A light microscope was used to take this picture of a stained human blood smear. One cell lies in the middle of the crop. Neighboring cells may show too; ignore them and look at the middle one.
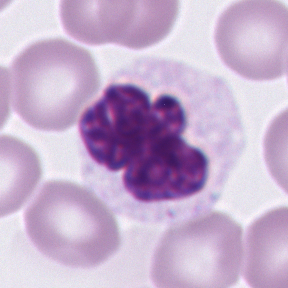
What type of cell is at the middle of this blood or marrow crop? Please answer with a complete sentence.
The crop centres on a single cell, and that cell is a segmented neutrophil.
